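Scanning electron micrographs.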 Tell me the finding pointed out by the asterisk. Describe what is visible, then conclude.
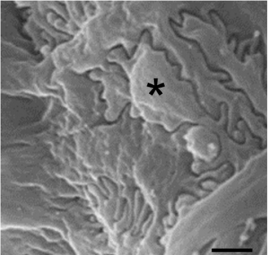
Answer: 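At the asterisk the cell surface is flattened and continuous, lacking slender separate processes. Remaining processes around it are short, irregular and disordered.
Effaced podocyte foot processes.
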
